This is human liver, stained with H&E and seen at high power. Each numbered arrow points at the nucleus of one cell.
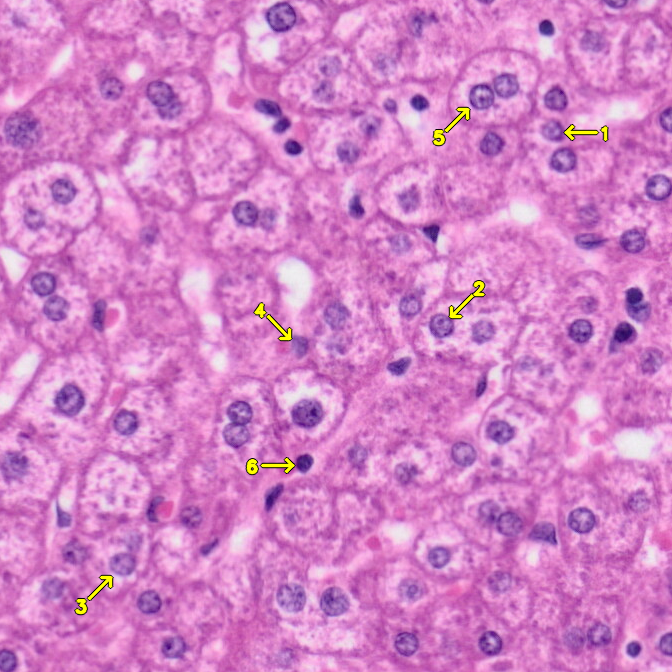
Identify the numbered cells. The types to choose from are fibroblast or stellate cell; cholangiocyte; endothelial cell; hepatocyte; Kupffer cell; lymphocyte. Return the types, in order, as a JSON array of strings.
["hepatocyte", "hepatocyte", "hepatocyte", "endothelial cell", "hepatocyte", "lymphocyte"]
